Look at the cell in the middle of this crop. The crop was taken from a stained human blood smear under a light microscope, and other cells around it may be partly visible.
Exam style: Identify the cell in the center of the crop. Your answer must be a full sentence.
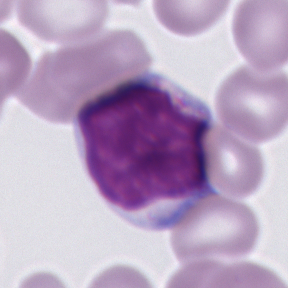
The cell positioned in the middle of the field is a large granular lymphocyte.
